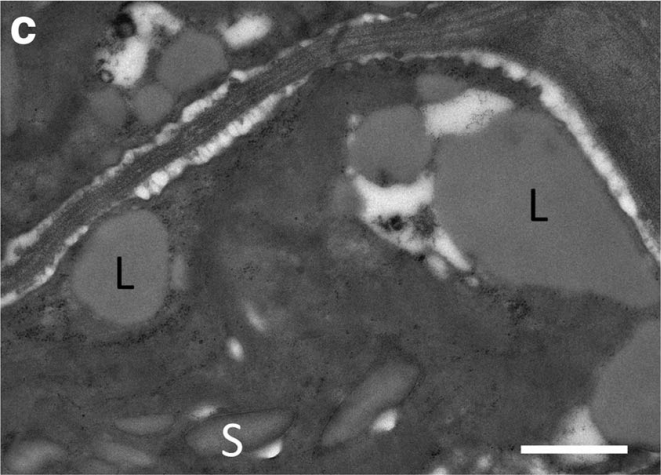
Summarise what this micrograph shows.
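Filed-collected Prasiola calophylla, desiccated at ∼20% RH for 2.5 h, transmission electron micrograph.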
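Part of an algal cell lies beneath a layered cell wall that runs diagonally across the top, with a thin white gap between wall and cytoplasm. Within the dark cytoplasm sit several large, smooth, evenly grey rounded bodies of uniform texture, one much larger than the others, with clear spaces beside some of them. Toward the bottom lie smaller elongated, pale-grey oval grains, some with white rims.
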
